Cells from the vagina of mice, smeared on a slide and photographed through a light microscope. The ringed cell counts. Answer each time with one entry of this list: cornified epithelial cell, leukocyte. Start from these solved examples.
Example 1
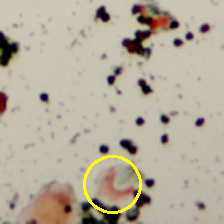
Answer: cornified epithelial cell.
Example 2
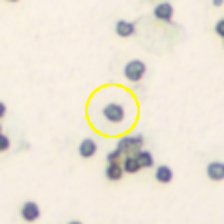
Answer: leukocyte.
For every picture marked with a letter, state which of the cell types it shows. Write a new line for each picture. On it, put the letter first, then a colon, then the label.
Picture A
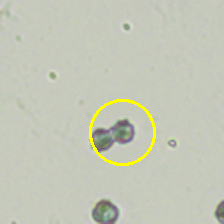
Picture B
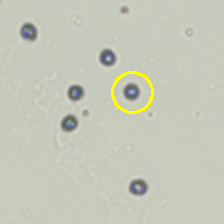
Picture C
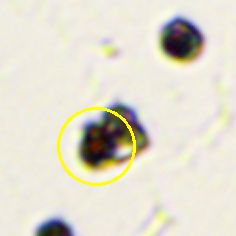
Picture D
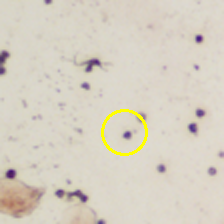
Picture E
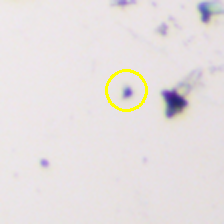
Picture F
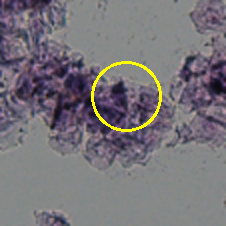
A: leukocyte.
B: leukocyte.
C: leukocyte.
D: leukocyte.
E: leukocyte.
F: cornified epithelial cell.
